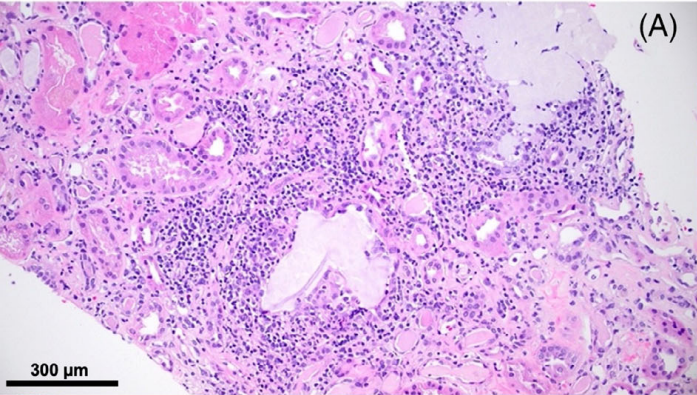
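This is kidney cortex in which the space between the tubules is flooded by a dense inflammatory infiltrate. Countless small cells with dark, round nuclei and scant cytoplasm crowd the interstitium, pushing the tubules apart so that they appear as scattered, separated profiles. The tubules are lined by pink epithelium, some with pale, glassy material in their lumens. Toward the edges the infiltrate thins and the interstitium looks looser and paler, as with swelling of the interstitial space. The overall picture is of a heavy interstitial inflammation rather than a process centred on glomeruli.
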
